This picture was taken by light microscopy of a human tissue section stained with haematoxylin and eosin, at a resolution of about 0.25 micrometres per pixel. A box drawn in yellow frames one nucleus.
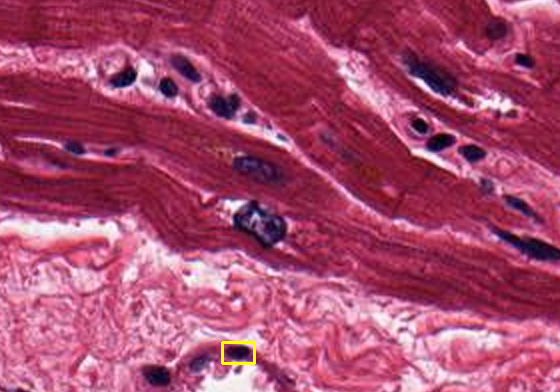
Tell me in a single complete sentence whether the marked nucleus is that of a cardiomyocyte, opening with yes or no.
No, the marked nucleus has its place in a supporting cell rather than in a cardiomyocyte.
